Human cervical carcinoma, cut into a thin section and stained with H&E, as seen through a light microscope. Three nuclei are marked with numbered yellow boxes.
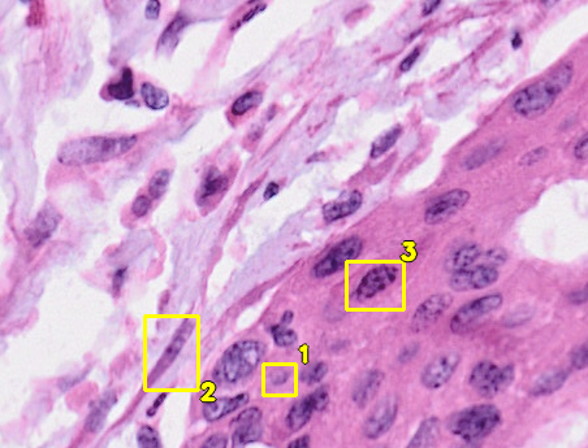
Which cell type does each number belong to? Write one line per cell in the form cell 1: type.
cell 1: squamous carcinoma cell
cell 2: fibroblast
cell 3: squamous carcinoma cell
